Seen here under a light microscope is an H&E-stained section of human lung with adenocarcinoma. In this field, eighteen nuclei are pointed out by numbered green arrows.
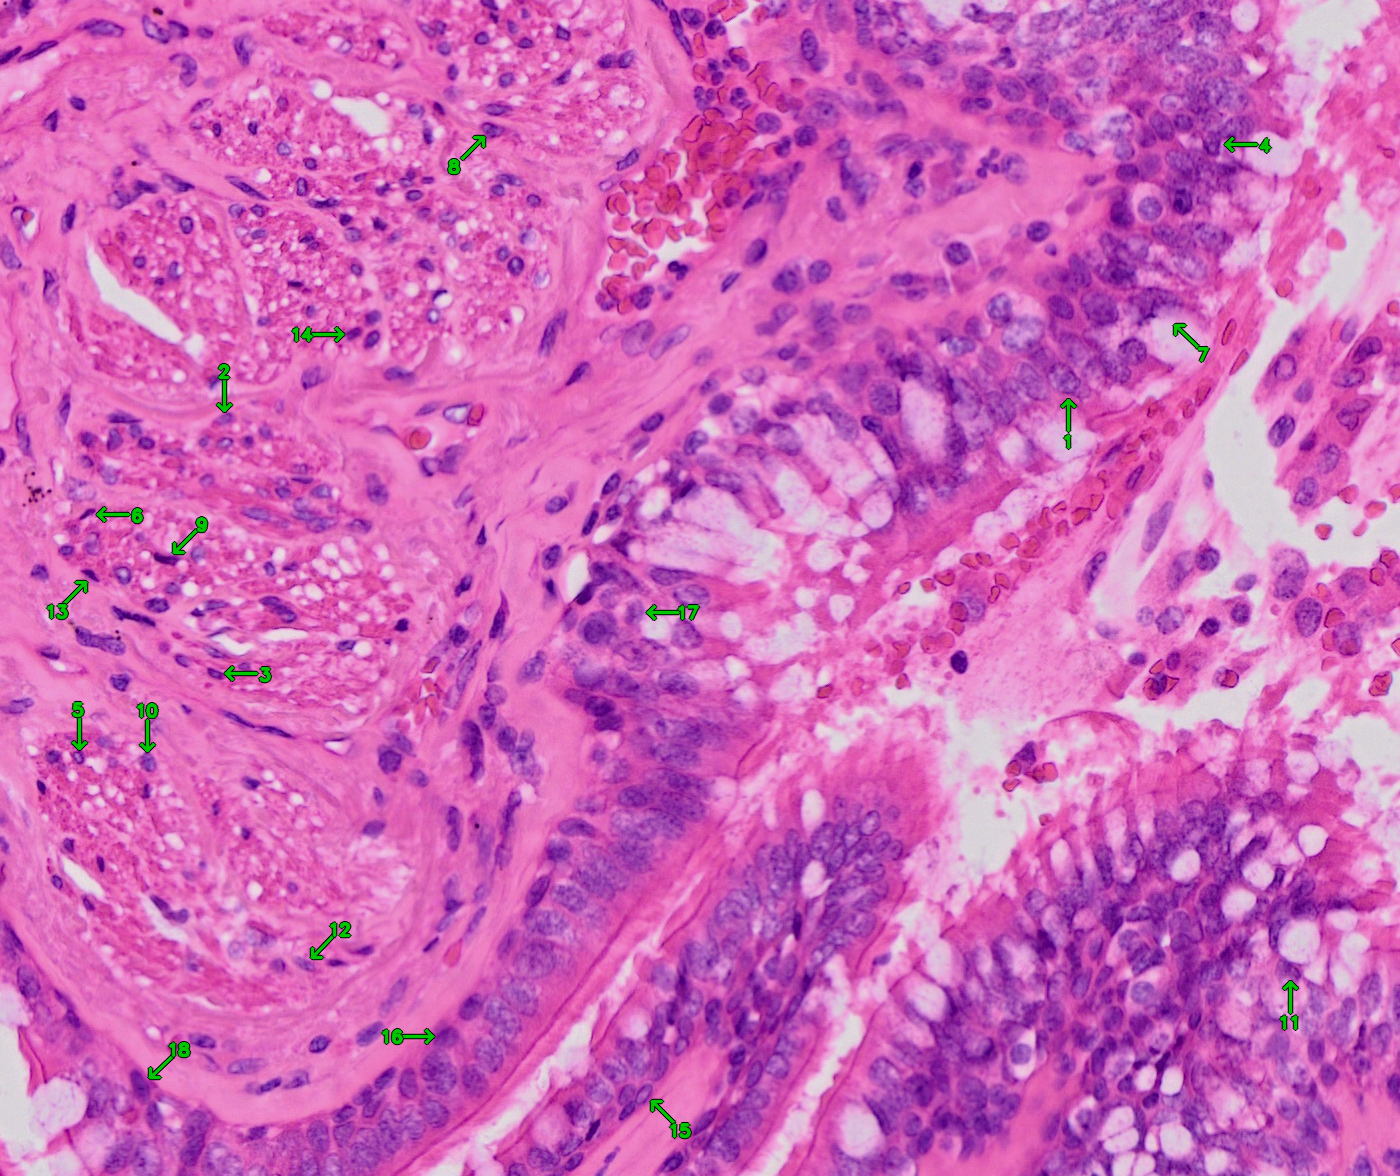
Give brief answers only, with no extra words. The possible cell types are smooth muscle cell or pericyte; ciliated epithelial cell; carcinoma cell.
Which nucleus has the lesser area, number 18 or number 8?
8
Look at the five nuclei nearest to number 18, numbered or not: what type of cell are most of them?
ciliated epithelial cell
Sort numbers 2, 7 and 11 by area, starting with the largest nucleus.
7, 11, 2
